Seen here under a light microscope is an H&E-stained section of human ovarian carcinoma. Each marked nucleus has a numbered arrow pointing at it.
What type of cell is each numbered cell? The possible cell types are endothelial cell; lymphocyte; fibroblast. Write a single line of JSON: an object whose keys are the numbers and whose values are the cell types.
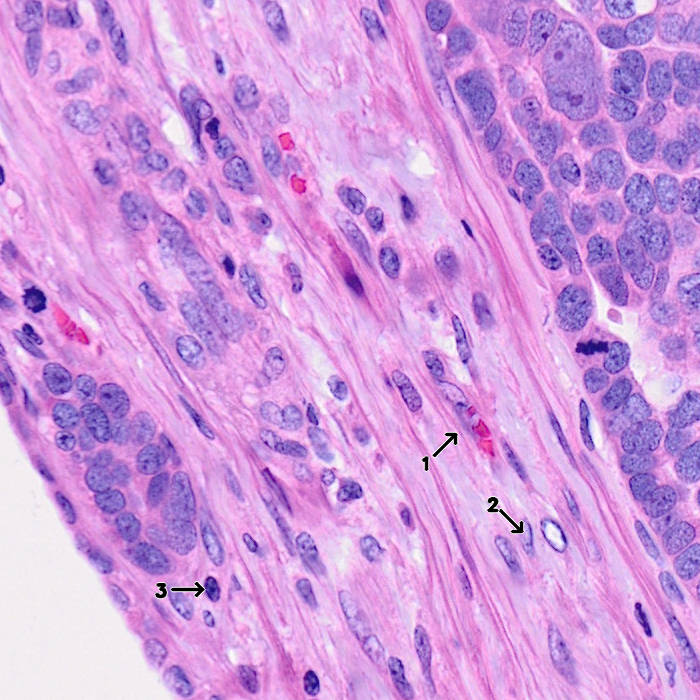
{"1": "endothelial cell", "2": "fibroblast", "3": "lymphocyte"}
